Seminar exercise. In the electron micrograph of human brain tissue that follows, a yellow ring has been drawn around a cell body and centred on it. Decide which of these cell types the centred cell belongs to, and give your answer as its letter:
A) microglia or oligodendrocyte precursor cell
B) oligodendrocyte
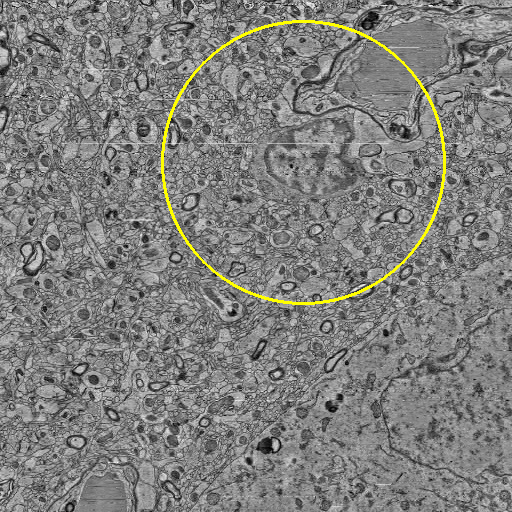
B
